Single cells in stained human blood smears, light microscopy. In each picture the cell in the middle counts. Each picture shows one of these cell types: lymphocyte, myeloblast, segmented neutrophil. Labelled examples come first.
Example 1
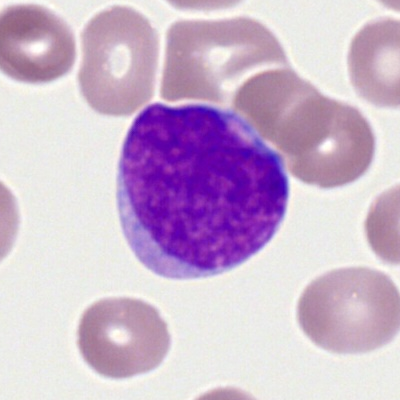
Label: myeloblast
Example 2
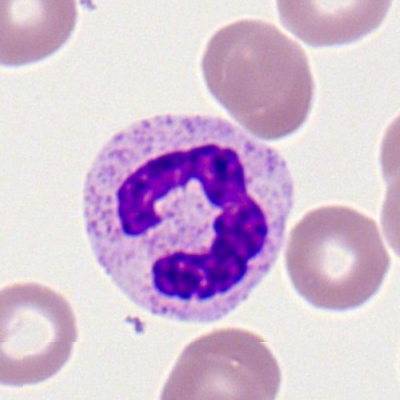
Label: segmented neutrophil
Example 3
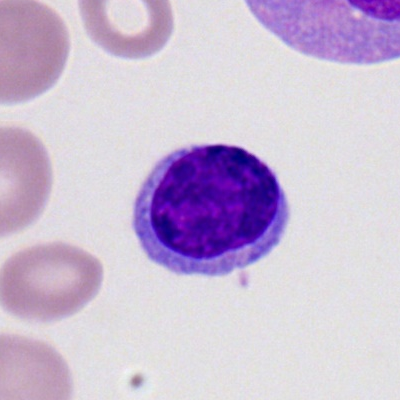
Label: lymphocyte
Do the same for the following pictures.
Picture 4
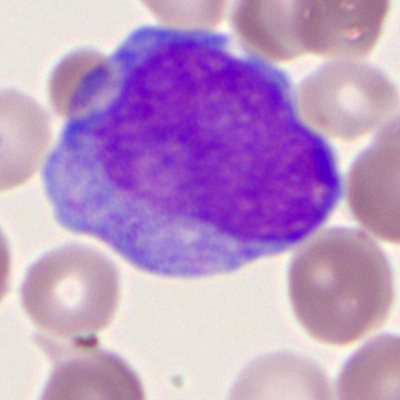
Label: myeloblast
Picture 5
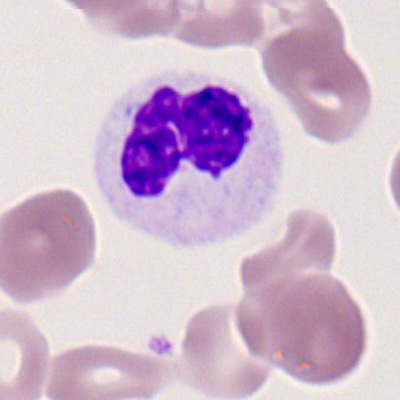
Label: segmented neutrophil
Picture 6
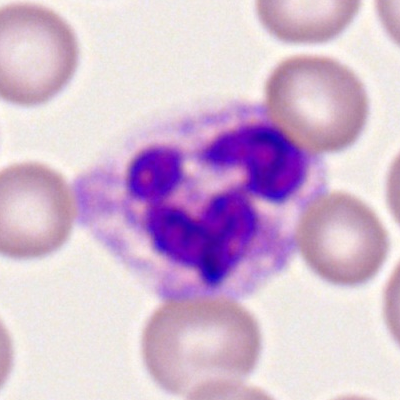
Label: segmented neutrophil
